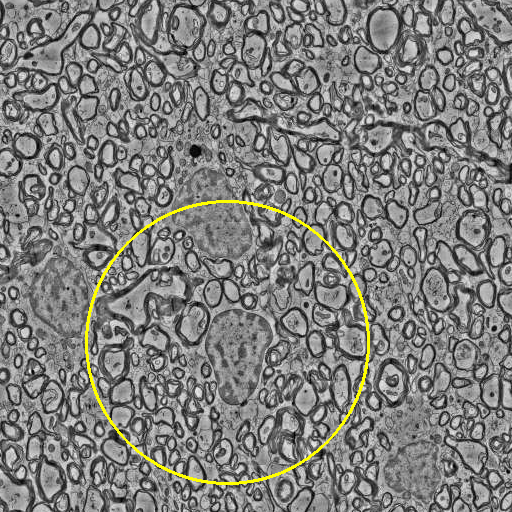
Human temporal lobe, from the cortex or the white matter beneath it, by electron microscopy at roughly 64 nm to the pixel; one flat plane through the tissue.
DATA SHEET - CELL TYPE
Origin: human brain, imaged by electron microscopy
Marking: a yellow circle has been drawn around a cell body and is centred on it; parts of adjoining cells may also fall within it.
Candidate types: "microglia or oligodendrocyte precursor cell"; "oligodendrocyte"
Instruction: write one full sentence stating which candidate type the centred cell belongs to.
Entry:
The cell body at the centre of the yellow ring in this micrograph belongs to a microglial cell or oligodendrocyte precursor cell.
